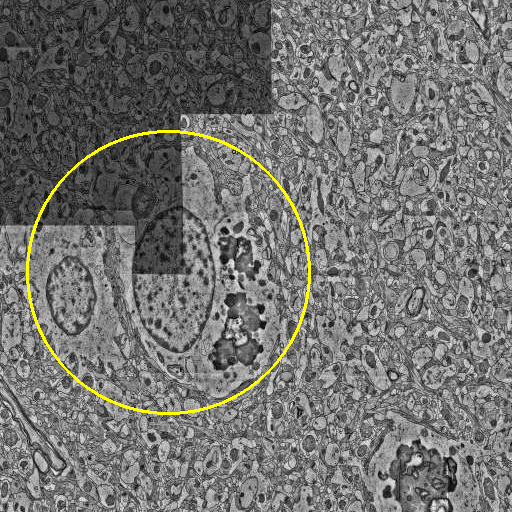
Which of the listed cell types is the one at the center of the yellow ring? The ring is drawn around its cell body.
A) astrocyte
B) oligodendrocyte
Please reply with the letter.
A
